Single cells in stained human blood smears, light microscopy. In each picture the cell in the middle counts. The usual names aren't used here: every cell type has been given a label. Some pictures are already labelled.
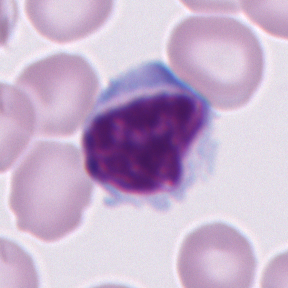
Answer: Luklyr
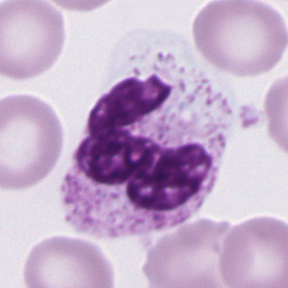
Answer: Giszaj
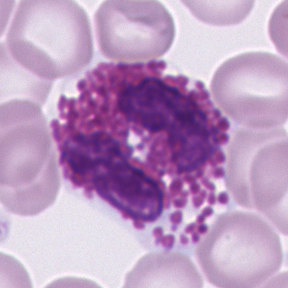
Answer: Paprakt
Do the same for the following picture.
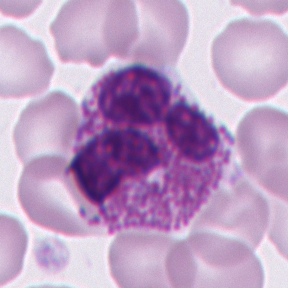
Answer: Paprakt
